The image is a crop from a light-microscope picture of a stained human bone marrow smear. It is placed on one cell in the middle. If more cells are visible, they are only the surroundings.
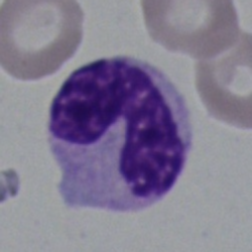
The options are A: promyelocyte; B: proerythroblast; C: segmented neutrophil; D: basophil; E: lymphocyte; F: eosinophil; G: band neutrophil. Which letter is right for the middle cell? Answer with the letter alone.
G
